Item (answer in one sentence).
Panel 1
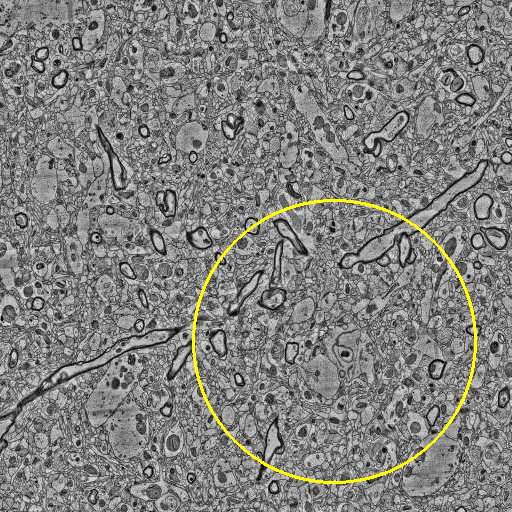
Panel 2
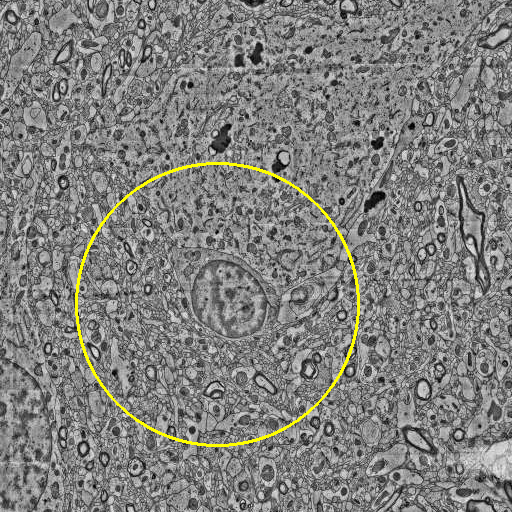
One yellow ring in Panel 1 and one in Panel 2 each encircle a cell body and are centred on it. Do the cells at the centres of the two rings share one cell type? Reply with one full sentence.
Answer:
No, Panel 1 and Panel 2 show cells of two types at the centres of their rings.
